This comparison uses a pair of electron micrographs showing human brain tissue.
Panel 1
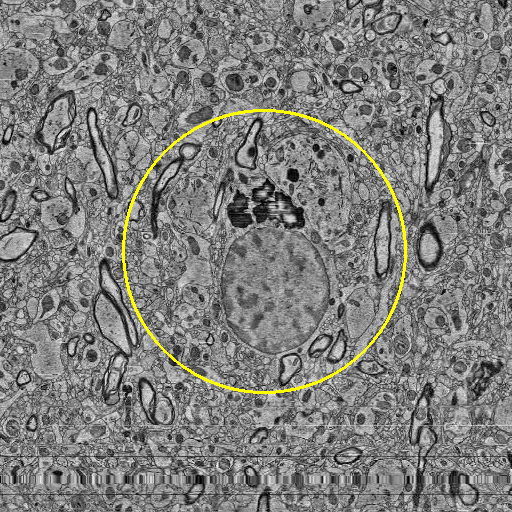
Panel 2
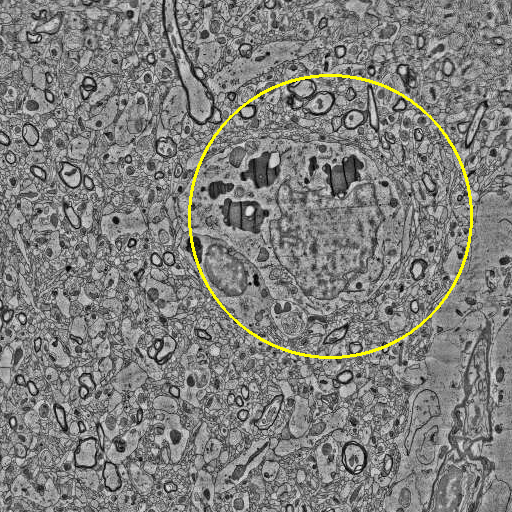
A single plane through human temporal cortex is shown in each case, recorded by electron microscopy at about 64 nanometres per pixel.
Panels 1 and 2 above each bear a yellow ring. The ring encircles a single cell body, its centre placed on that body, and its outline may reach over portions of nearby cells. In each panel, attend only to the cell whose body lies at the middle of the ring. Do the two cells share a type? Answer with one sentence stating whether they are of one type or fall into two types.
In Panel 1 and Panel 2, the cells at the centres of the rings fall into two types.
